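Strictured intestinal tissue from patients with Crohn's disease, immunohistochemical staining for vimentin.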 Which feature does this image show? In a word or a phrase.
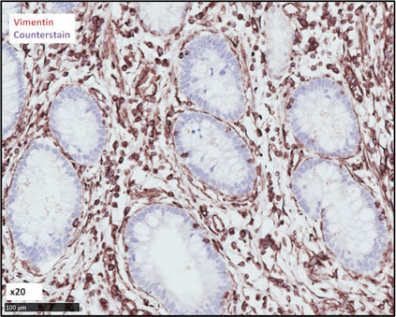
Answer: Crypts.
